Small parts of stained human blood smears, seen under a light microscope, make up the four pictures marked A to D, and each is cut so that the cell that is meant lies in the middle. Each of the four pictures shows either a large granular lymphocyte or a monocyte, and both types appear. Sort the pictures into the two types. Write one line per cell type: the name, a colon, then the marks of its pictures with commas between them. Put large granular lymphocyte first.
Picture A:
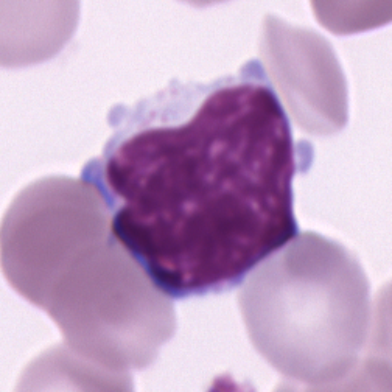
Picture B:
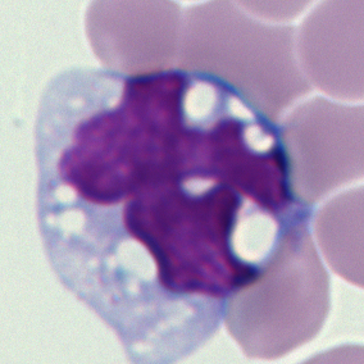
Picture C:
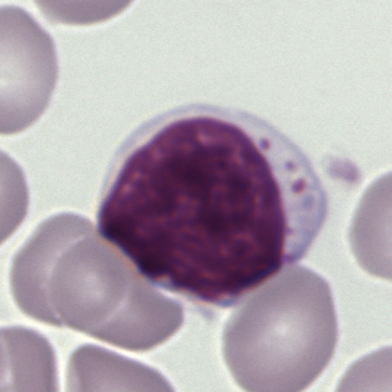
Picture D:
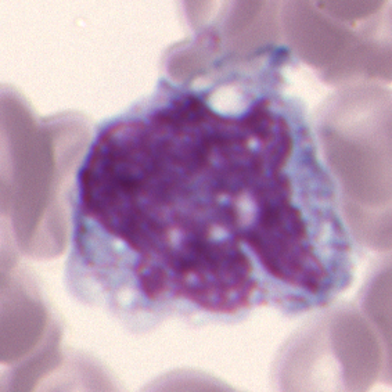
large granular lymphocyte: A, C
monocyte: B, D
